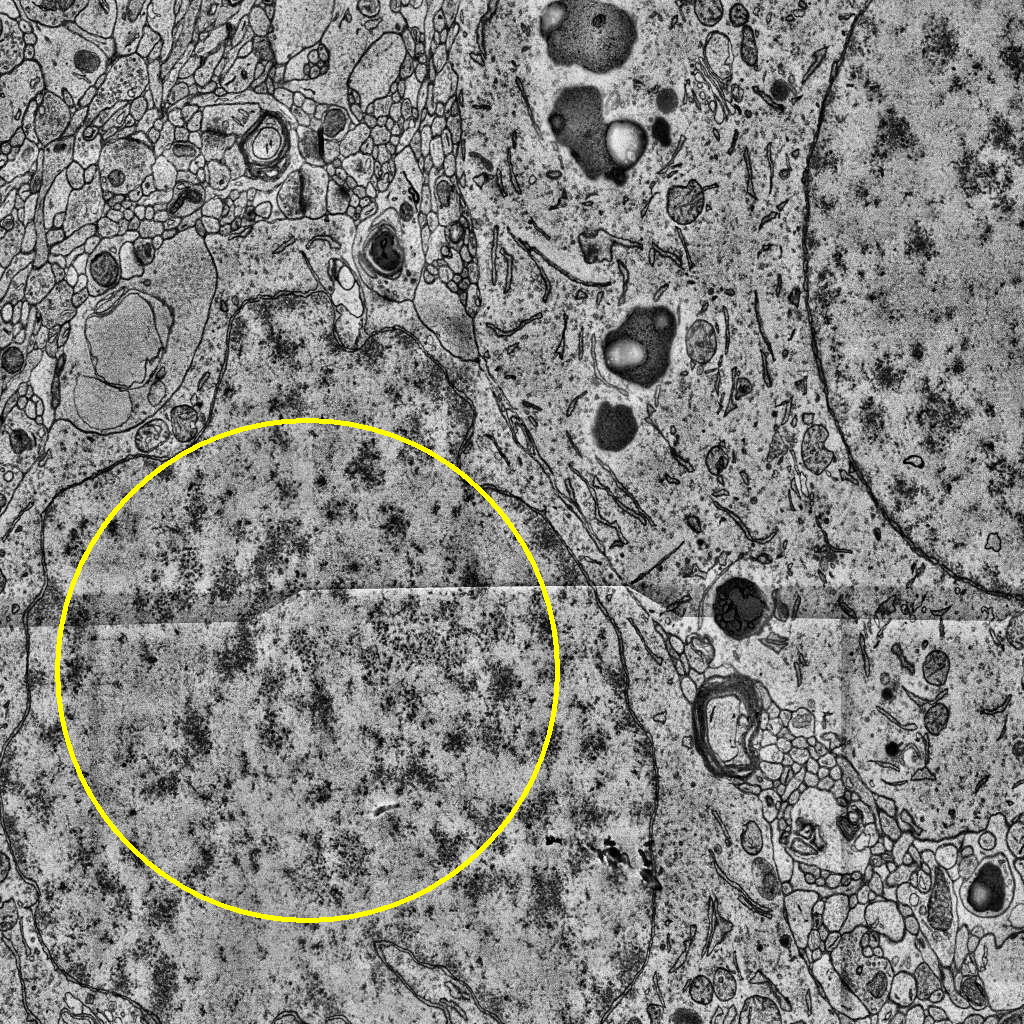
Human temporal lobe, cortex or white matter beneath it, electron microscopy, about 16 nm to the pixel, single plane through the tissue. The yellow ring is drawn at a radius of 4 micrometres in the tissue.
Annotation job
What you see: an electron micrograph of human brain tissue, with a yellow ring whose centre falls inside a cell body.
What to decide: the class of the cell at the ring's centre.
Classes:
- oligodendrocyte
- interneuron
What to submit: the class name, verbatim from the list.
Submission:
interneuron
